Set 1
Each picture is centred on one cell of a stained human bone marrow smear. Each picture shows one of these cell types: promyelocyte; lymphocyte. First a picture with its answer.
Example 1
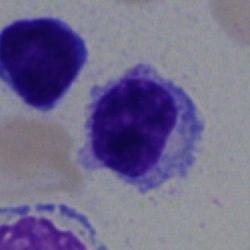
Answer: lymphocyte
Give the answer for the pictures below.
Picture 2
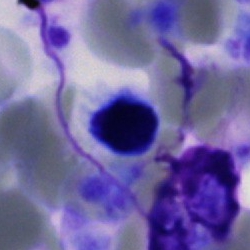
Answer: lymphocyte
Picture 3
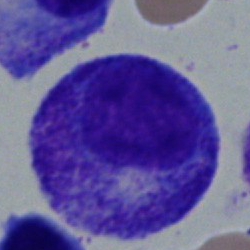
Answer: promyelocyte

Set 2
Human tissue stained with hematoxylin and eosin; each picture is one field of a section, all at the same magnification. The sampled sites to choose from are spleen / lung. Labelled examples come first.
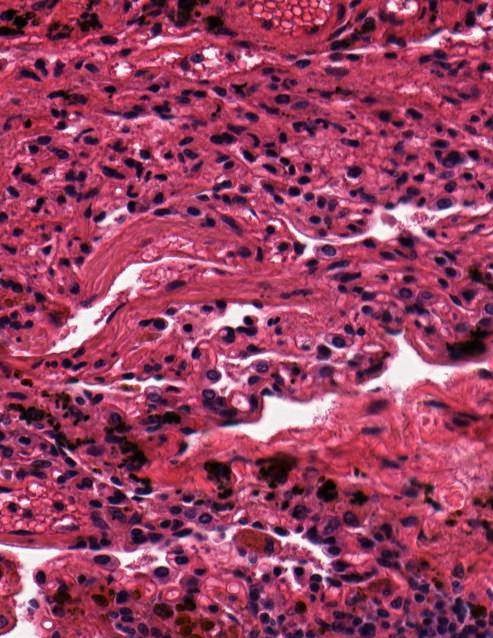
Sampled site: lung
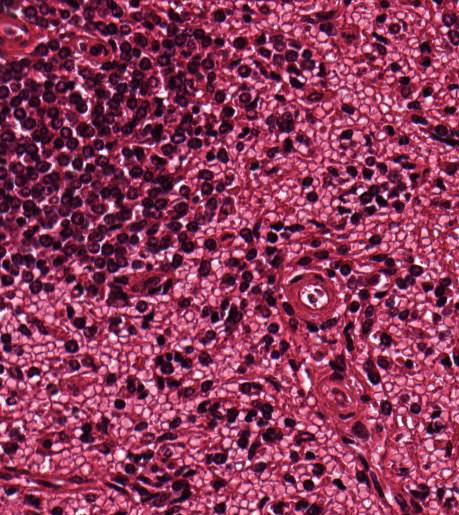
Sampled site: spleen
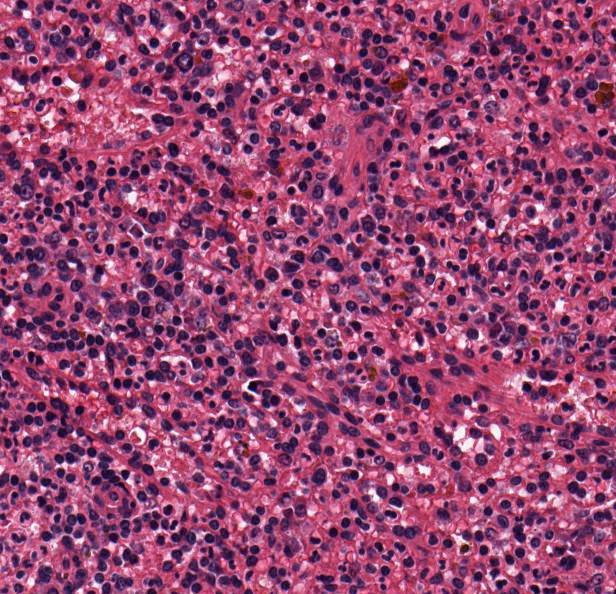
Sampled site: spleen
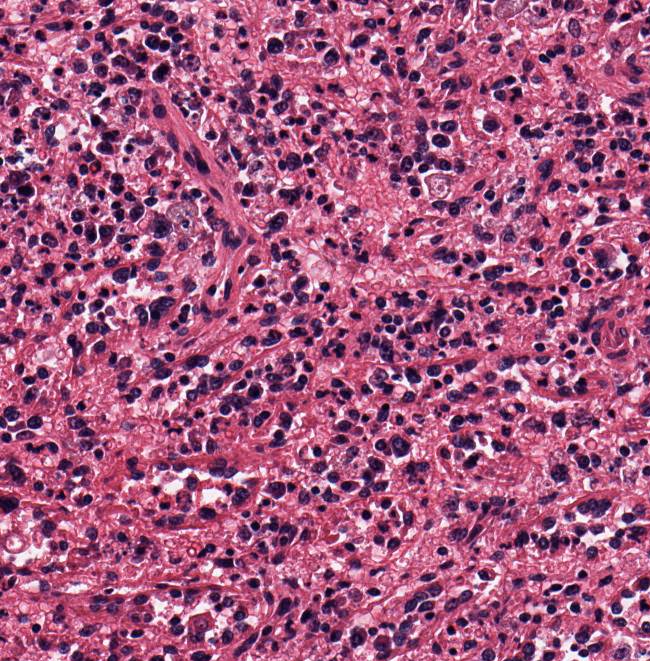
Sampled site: spleen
